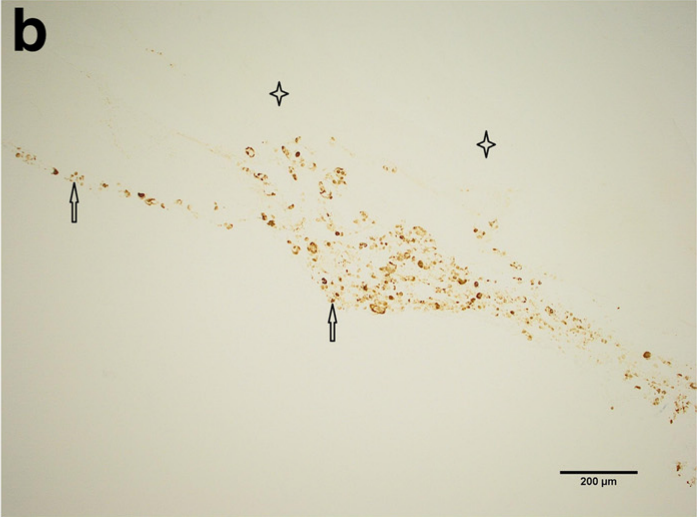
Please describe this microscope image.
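The cells are round to oval and of varying size, some single and scattered, others packed in dense clusters where the band is widest near the centre. Fine brown granules and faint strands run between them. Above and below the band the background is pale and featureless, with hardly any cells.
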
